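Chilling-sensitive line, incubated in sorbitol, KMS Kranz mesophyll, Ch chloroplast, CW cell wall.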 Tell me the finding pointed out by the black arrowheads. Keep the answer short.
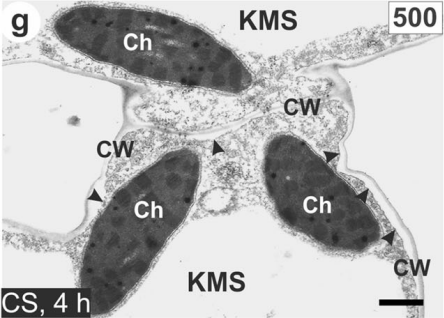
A: Incipient plasmolysis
